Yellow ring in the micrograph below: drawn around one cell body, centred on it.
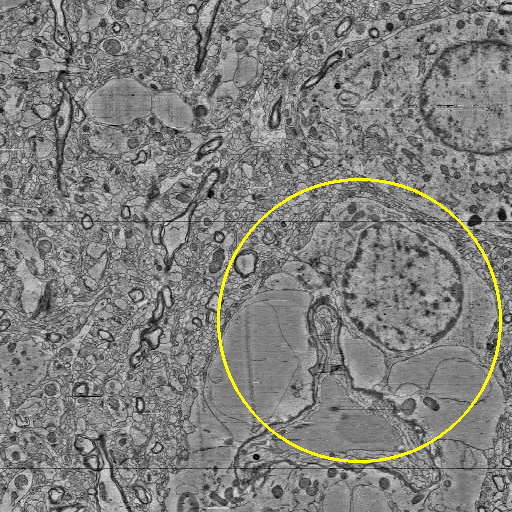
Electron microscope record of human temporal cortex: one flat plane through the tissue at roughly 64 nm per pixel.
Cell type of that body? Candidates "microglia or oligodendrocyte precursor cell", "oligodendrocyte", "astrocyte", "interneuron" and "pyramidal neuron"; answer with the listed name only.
microglia or oligodendrocyte precursor cell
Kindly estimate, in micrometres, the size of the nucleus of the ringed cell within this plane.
The nucleus appears roughly 9 by 8 micrometres in this plane.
